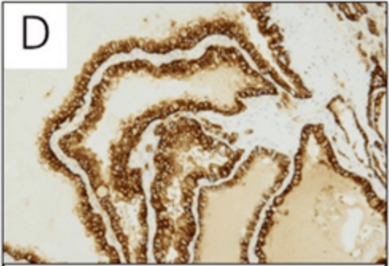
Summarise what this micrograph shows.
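This is the same cystic tumor, with thin folded walls outlining several cyst spaces. The tumor cells lining the cysts are stained a strong brown along their whole length. The brown marks a continuous band of lining cells on both faces of the thin septa. The walls between the lining layers stay pale, and the cyst contents show only a faint tan colour.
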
